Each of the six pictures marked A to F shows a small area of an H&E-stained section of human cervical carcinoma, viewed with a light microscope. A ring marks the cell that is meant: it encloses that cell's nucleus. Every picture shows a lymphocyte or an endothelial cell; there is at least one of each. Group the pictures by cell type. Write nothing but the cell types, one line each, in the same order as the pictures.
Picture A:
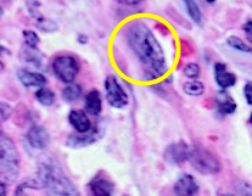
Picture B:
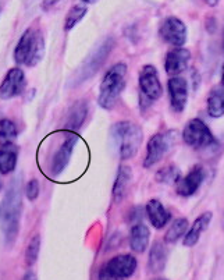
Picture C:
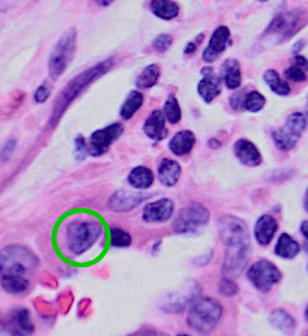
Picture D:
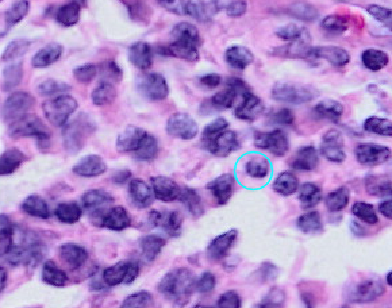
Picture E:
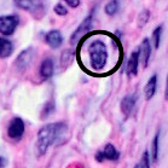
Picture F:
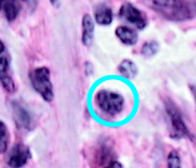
endothelial cell
endothelial cell
endothelial cell
lymphocyte
lymphocyte
lymphocyte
